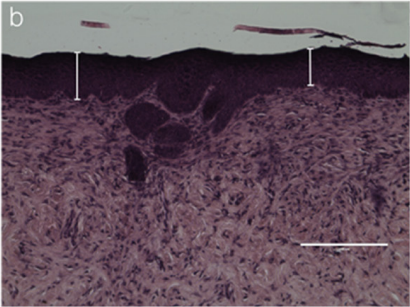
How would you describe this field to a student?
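Section of skin in which the epidermis forms a broad, dense band of dark-purple cells, several times thicker than a few cell layers, with a smooth surface. The dermis beneath is pink and fibrous and appears crowded with many small dark nuclei. Only a few hair follicle profiles are seen just beneath the thickened surface layer.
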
